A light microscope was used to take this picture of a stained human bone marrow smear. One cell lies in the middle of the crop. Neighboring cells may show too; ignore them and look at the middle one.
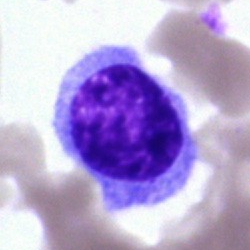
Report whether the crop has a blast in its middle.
no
